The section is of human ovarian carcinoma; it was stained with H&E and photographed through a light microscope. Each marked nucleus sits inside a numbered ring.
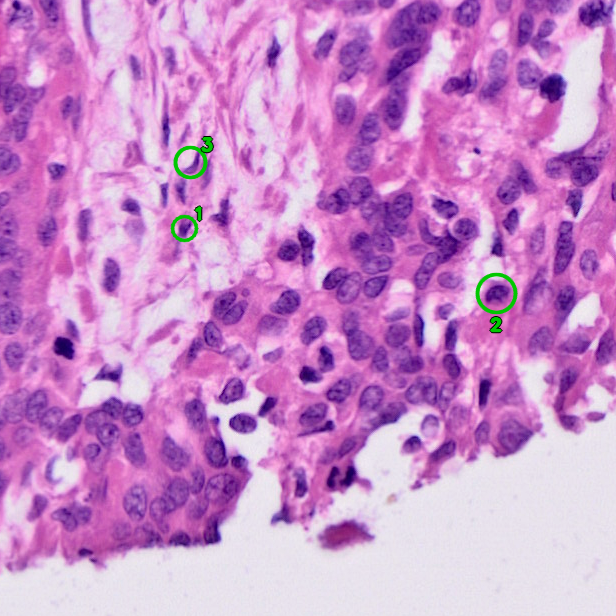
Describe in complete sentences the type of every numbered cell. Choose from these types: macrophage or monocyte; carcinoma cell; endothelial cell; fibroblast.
Cell 1 is a fibroblast, cell 2 is a macrophage or monocyte and cell 3 is a fibroblast.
